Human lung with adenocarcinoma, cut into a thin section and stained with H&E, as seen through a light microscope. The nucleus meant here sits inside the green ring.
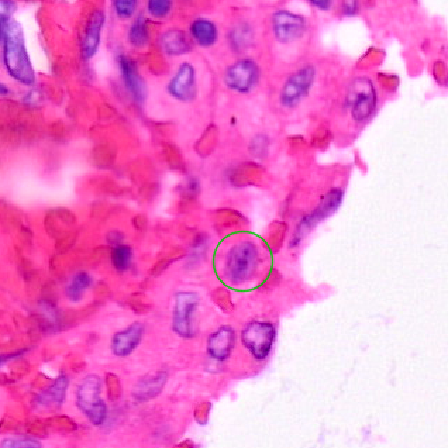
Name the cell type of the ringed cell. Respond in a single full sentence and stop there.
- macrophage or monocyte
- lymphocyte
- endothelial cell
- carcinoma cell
Recorded by type, the ringed cell is a macrophage or monocyte.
